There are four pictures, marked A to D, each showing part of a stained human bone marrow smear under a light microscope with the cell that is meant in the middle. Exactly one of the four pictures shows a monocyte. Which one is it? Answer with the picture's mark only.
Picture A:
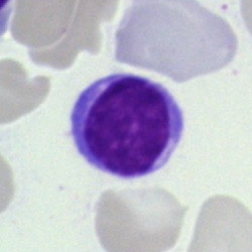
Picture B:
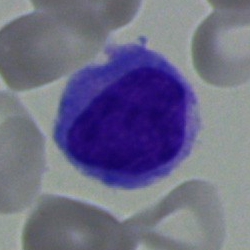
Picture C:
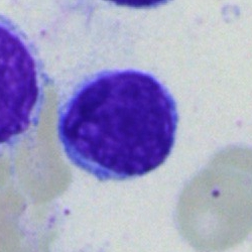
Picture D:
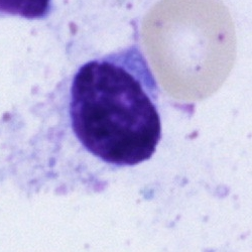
B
